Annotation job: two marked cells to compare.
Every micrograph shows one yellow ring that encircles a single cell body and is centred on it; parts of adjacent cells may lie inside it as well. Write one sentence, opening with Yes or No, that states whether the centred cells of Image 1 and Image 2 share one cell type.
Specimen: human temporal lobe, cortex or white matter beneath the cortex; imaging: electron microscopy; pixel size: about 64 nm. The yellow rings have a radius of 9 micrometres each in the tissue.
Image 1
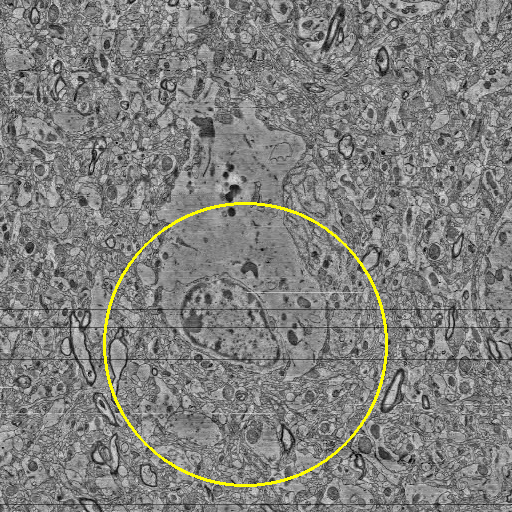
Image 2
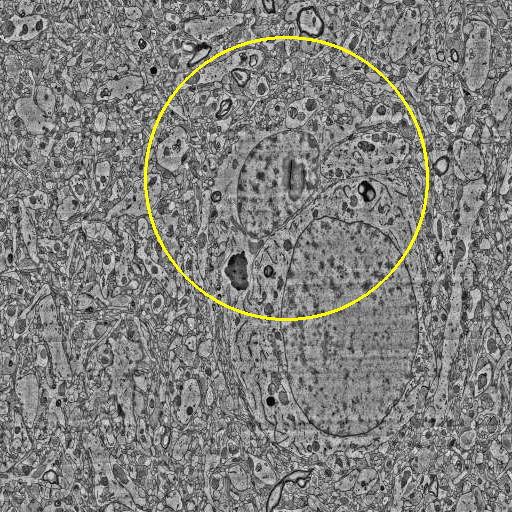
Yes, the cell centred in Image 1 shares its type with the cell centred in Image 2.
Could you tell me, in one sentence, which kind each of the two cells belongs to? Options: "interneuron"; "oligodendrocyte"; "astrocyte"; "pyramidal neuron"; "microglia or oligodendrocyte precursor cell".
The ring centre holds an astrocyte in each of the two pictures.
